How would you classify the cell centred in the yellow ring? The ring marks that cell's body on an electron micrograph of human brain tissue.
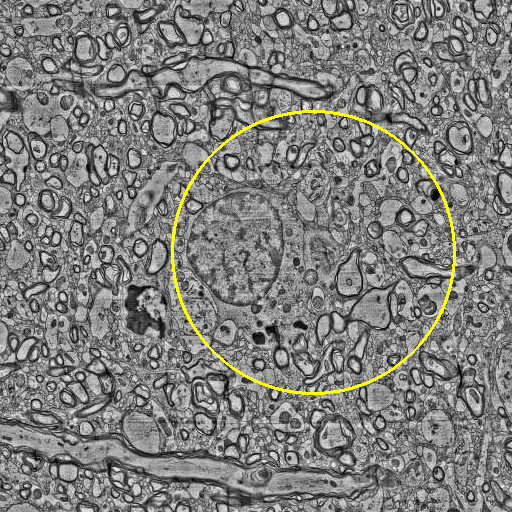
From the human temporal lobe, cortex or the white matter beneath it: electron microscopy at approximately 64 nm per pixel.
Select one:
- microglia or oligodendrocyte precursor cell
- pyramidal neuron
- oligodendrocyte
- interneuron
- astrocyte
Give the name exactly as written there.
oligodendrocyte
